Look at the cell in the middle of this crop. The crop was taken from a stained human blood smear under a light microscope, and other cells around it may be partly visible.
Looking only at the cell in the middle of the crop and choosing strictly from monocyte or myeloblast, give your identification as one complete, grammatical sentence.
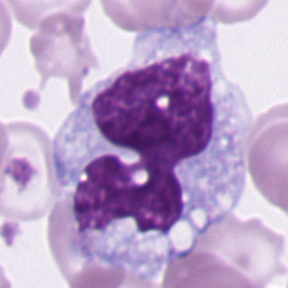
The center cell of this crop is a monocyte.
